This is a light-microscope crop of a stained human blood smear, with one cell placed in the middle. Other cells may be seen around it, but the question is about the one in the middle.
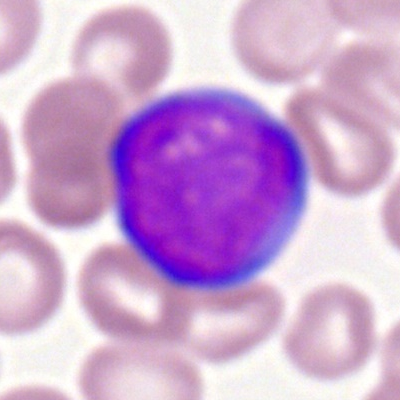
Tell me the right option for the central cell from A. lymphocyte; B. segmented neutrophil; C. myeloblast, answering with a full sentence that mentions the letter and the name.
The cell at the centre is a myeloblast, and option C accordingly is correct.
